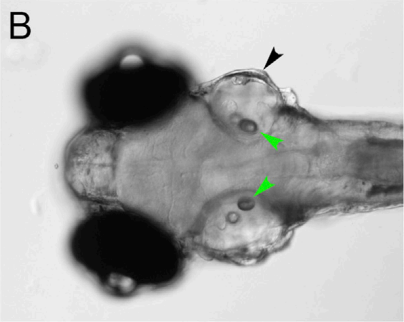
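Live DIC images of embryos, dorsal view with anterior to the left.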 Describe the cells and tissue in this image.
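The ears bulge outward beyond the contour of the head, and the black arrowhead points to the distended outer wall of one of them. The midline brain tissue between the ears appears clear and without obvious lesions.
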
